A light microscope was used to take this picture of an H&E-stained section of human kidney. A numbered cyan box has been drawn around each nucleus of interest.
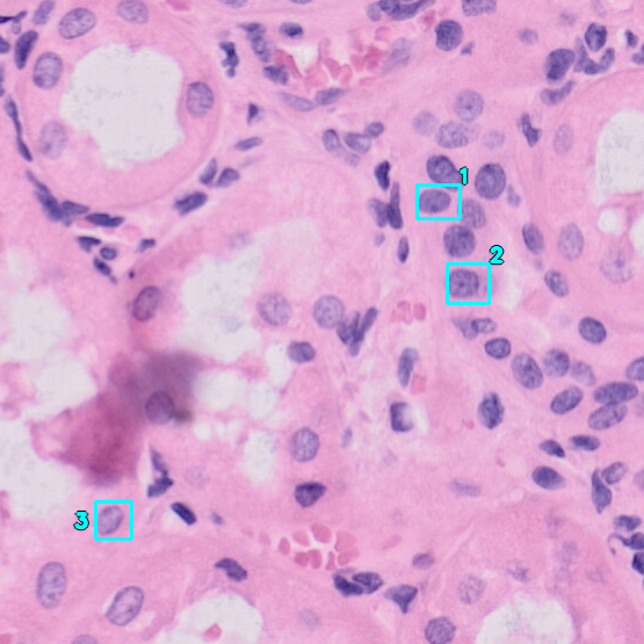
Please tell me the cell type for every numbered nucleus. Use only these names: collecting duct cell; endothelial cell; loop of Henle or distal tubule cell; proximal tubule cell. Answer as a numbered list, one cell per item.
1. collecting duct cell
2. collecting duct cell
3. proximal tubule cell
